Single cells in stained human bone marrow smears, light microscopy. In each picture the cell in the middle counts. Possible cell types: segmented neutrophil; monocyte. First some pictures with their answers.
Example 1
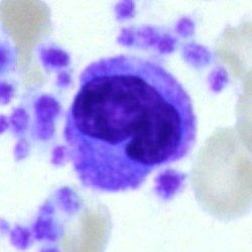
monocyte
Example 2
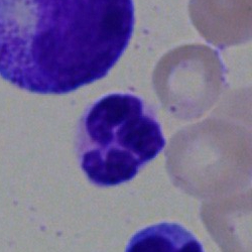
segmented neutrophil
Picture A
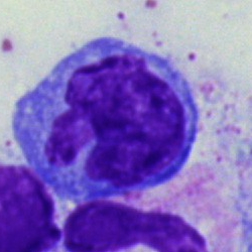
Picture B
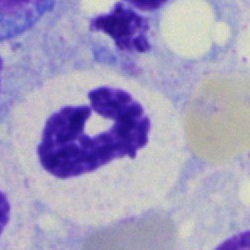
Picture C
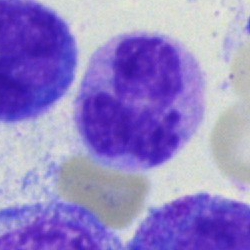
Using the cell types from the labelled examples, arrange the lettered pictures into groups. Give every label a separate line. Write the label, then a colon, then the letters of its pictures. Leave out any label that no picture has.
segmented neutrophil: B
monocyte: A, C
